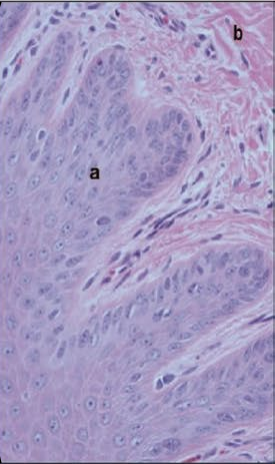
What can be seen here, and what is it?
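This section shows a stratified epithelium of keratinocytes meeting a band of connective tissue. The keratinocytes form dense sheets of polygonal cells with pale pink cytoplasm, fairly distinct borders and round to oval, purple nuclei, many with a visible nucleolus. Along the border with the connective tissue the epithelial cells are more crowded, and their nuclei are darker and more elongated, lying in a row. Interweaving strands of connective tissue run between the epithelial masses and fill the upper right corner. They consist of pink, wavy fibres with scattered thin, spindle-shaped nuclei, and they hold far fewer cells than the epithelium.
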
